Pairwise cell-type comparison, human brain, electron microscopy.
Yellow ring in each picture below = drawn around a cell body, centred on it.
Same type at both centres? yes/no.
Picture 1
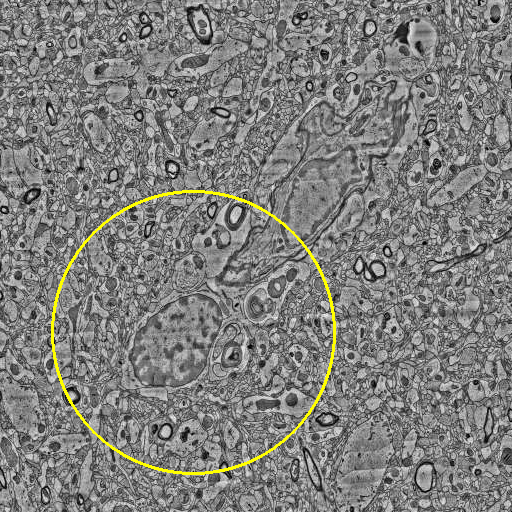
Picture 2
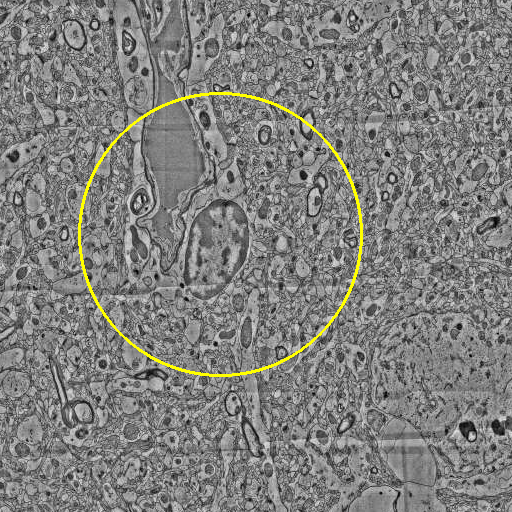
yes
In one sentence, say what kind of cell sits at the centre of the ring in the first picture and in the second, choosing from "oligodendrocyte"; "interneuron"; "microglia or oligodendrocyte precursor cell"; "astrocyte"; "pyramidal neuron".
Each of the two rings is centred on a microglial cell or oligodendrocyte precursor cell.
